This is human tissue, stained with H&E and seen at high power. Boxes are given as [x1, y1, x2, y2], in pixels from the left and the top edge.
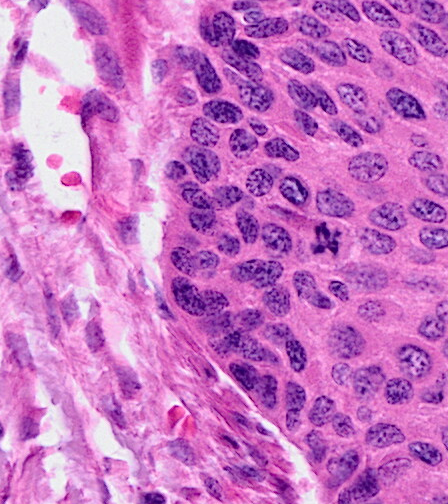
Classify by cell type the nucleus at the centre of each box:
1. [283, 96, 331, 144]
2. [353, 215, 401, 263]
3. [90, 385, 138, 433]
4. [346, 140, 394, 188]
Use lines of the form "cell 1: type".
cell 1: squamous carcinoma cell
cell 2: squamous carcinoma cell
cell 3: fibroblast
cell 4: squamous carcinoma cell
